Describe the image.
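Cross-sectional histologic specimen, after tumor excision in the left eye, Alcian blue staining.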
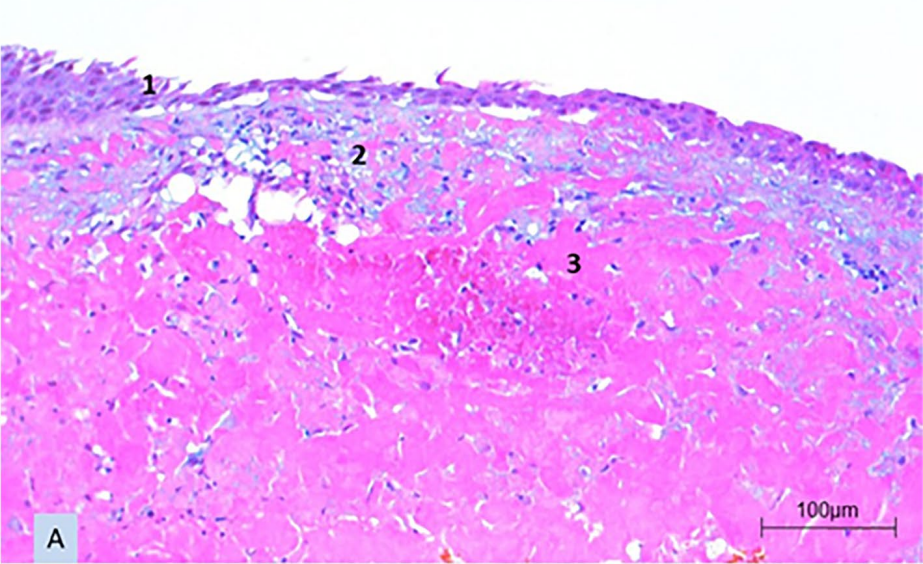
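This is conjunctiva covered by an intact stratified epithelium of closely packed cells with purple nuclei, lying on a stroma that is greatly altered. Directly beneath the epithelium the stroma is loose and pale blue-grey, with small clear vacuoles and a dense scatter of small dark round nuclei of chronic inflammatory cells. The inflammation is most marked just under the epithelium. Deeper down, the stroma is largely replaced by broad, confluent masses of glassy, deep pink, structureless material, between which only a few spindle-shaped and round nuclei and narrow clefts are seen.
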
